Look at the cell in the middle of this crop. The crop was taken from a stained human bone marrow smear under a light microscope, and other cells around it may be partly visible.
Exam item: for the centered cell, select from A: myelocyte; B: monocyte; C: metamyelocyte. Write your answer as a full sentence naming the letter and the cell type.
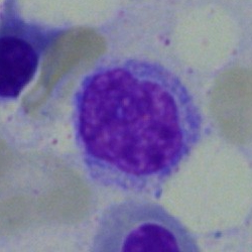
The centered cell is a monocyte, which is why option B is right.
